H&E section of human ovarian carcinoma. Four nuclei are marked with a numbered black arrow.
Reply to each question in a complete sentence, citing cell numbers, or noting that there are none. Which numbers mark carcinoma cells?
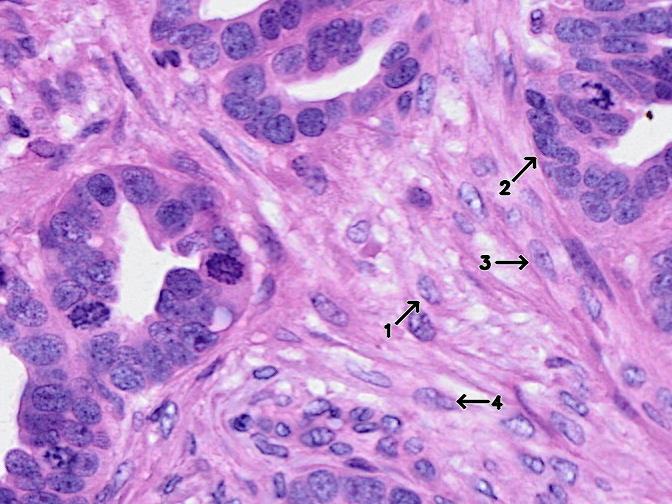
Only the cell with number 2 is a carcinoma cell.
